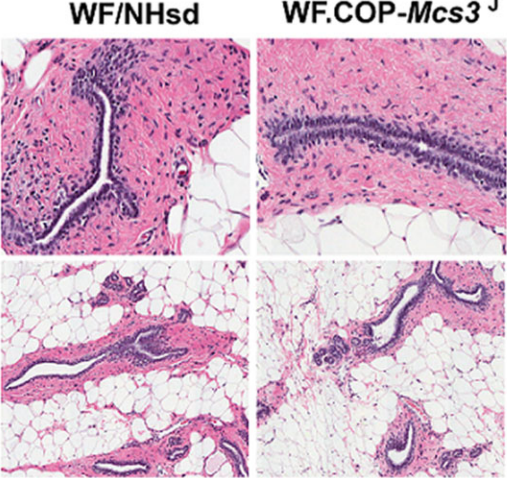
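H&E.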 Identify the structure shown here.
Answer: mature ducts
